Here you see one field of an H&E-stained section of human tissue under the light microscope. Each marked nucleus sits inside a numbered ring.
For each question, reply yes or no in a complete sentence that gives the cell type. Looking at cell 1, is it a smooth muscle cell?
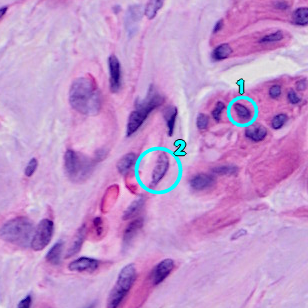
Yes, the one with the number 1 is a smooth muscle cell.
